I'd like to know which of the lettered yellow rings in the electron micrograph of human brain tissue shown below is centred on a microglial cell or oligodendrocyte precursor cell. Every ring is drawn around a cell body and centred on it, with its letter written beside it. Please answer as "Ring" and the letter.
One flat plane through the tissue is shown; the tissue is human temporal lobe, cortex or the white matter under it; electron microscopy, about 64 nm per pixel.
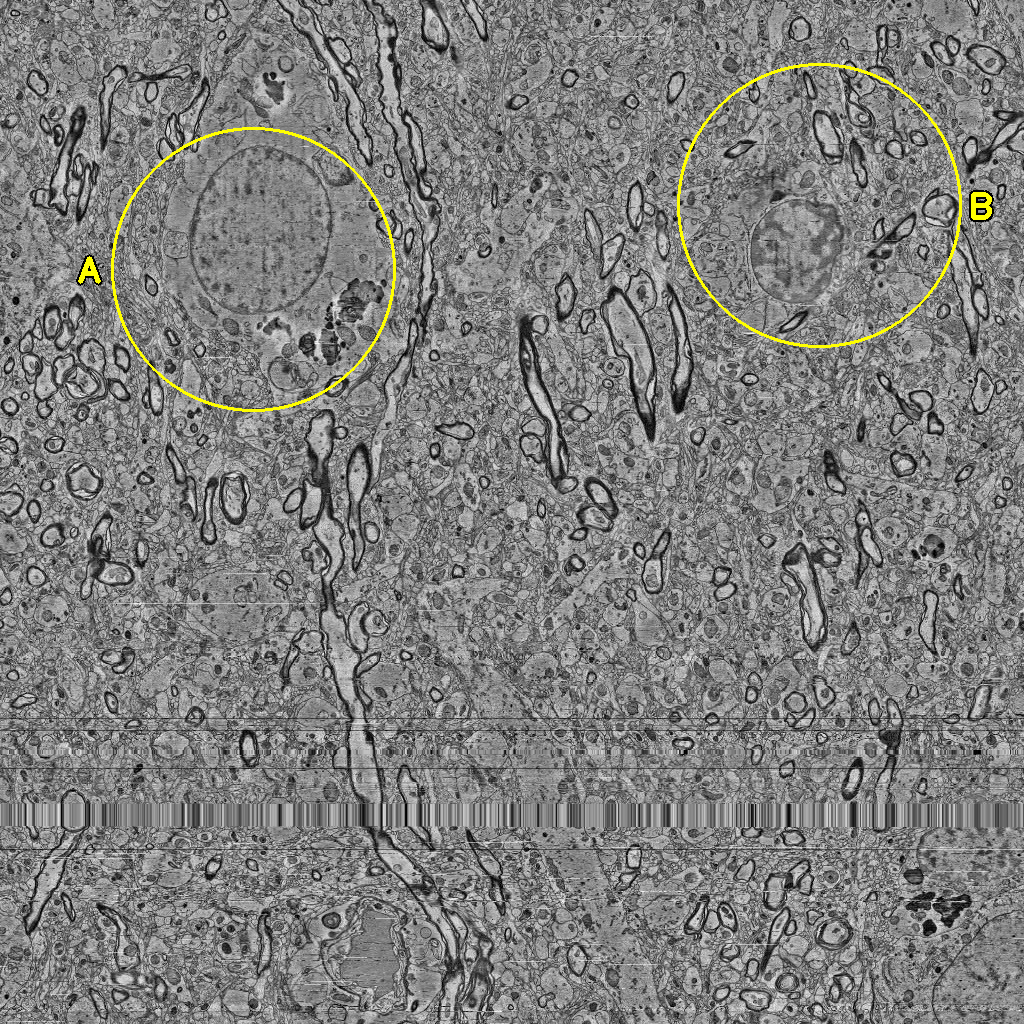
Ring B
